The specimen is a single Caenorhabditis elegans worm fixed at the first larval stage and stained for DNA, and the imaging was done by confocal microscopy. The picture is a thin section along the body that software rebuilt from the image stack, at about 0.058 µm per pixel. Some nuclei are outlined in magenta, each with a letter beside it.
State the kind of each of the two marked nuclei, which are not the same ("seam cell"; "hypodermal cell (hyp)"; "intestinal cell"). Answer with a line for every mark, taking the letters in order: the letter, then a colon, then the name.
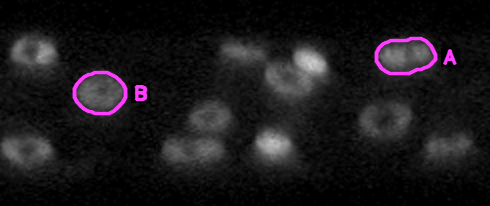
A: hypodermal cell (hyp)
B: intestinal cell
